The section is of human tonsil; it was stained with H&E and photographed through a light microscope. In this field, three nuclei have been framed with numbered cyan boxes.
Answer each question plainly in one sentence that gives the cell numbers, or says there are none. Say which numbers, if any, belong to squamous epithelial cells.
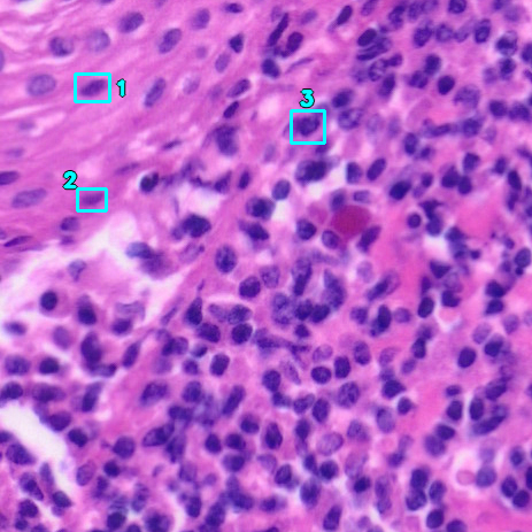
Into the category of squamous epithelial cells fall the cells numbered 1 and 2.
